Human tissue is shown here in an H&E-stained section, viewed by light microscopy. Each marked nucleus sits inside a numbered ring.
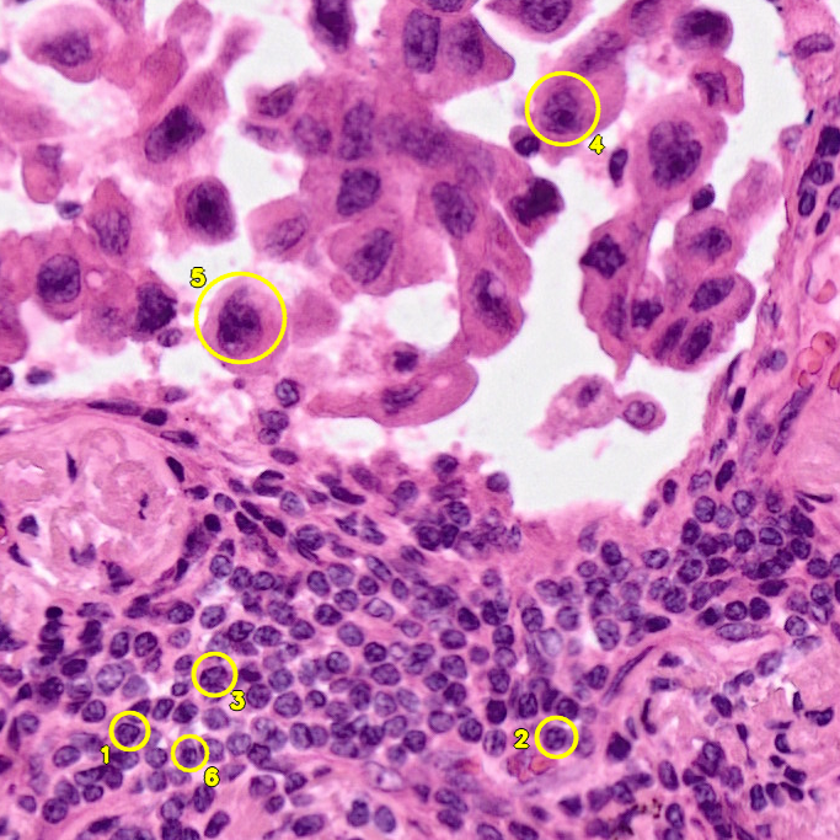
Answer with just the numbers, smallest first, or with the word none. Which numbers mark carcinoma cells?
4, 5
